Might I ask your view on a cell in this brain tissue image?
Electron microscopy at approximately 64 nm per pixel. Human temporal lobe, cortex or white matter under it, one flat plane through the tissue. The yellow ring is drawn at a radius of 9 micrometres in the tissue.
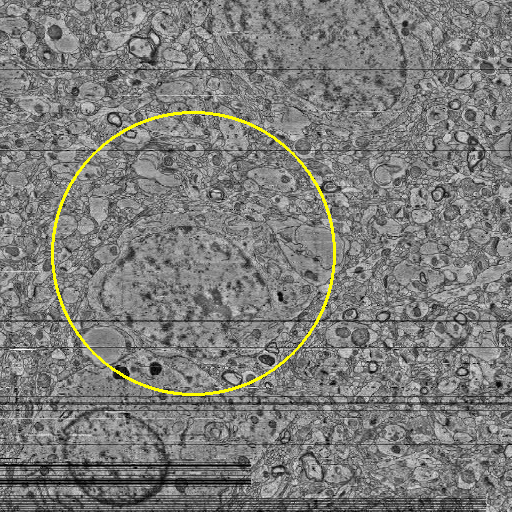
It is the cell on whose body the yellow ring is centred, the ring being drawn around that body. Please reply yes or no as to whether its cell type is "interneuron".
yes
